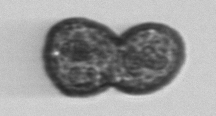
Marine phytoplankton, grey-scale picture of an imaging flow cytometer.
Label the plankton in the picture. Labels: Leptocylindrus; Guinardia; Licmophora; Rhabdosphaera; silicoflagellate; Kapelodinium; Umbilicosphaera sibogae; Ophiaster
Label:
Umbilicosphaera sibogae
